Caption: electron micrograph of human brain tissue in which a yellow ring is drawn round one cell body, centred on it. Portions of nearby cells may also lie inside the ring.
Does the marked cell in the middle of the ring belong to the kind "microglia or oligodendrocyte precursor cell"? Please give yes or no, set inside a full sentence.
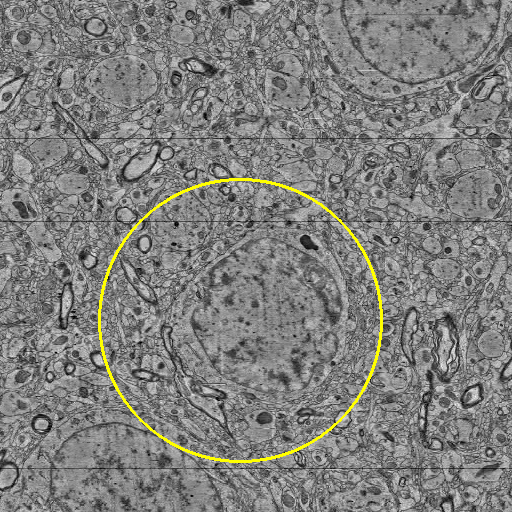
No, the marked cell that the ring is centred on in the picture is of another kind.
